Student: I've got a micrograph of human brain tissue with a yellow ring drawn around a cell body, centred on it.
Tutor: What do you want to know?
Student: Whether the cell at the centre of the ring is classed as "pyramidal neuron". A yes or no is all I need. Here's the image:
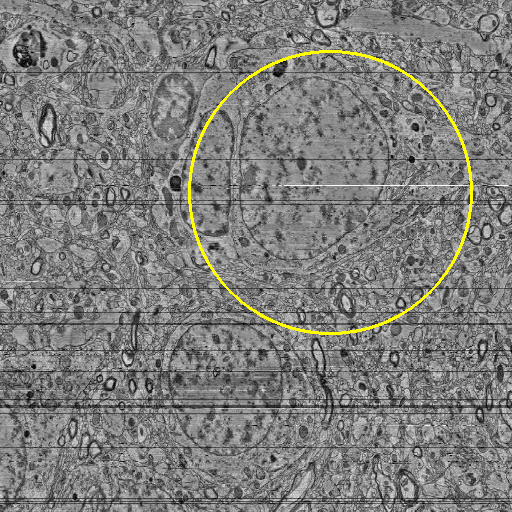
yes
